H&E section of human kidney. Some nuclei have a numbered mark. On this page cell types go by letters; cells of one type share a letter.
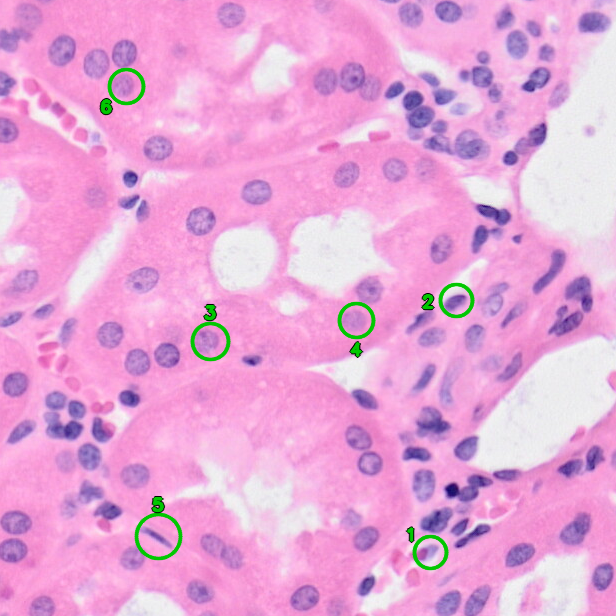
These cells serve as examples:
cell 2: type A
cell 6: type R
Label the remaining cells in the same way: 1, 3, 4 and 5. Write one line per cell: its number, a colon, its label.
1: type A
3: type R
4: type R
5: type A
